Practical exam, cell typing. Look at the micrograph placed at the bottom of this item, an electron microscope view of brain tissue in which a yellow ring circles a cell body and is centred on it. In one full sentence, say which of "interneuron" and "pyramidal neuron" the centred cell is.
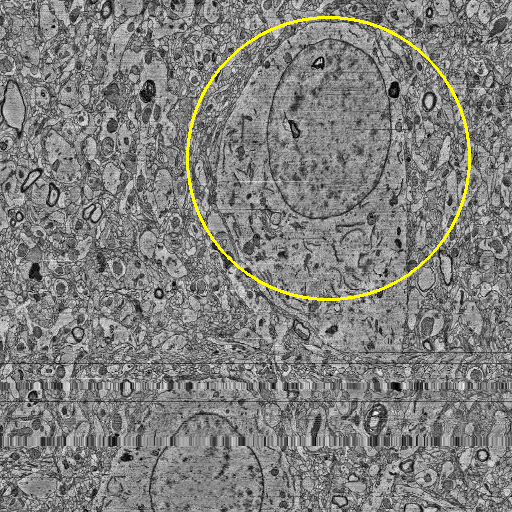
Given the options, a pyramidal neuron fits the cell whose body the yellow ring is centred on.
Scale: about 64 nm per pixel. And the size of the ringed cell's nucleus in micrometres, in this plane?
The ringed cell's nucleus is roughly 12 by 8 micrometres and clearly longer than it is wide in this plane.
